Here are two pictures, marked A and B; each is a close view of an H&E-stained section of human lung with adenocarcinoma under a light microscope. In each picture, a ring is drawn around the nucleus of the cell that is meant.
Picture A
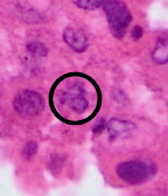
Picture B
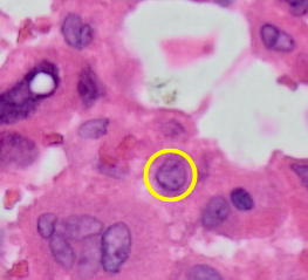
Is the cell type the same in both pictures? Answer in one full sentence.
Yes, both are “macrophages or monocytes”.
